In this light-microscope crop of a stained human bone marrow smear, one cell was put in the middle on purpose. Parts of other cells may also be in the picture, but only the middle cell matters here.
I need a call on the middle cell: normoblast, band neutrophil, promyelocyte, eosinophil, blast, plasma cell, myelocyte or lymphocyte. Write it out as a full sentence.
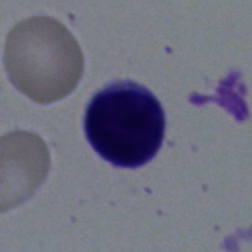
Seen at the centre of the crop is a lymphocyte.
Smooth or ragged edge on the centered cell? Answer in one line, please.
In short, the margin is smooth with no projections at all.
